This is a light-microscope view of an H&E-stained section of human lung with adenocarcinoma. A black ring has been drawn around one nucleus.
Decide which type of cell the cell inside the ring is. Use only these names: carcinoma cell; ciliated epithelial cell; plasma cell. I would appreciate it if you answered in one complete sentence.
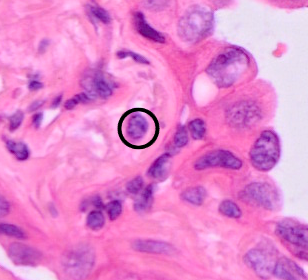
Placed in its cell category, the cell inside the ring is a plasma cell.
